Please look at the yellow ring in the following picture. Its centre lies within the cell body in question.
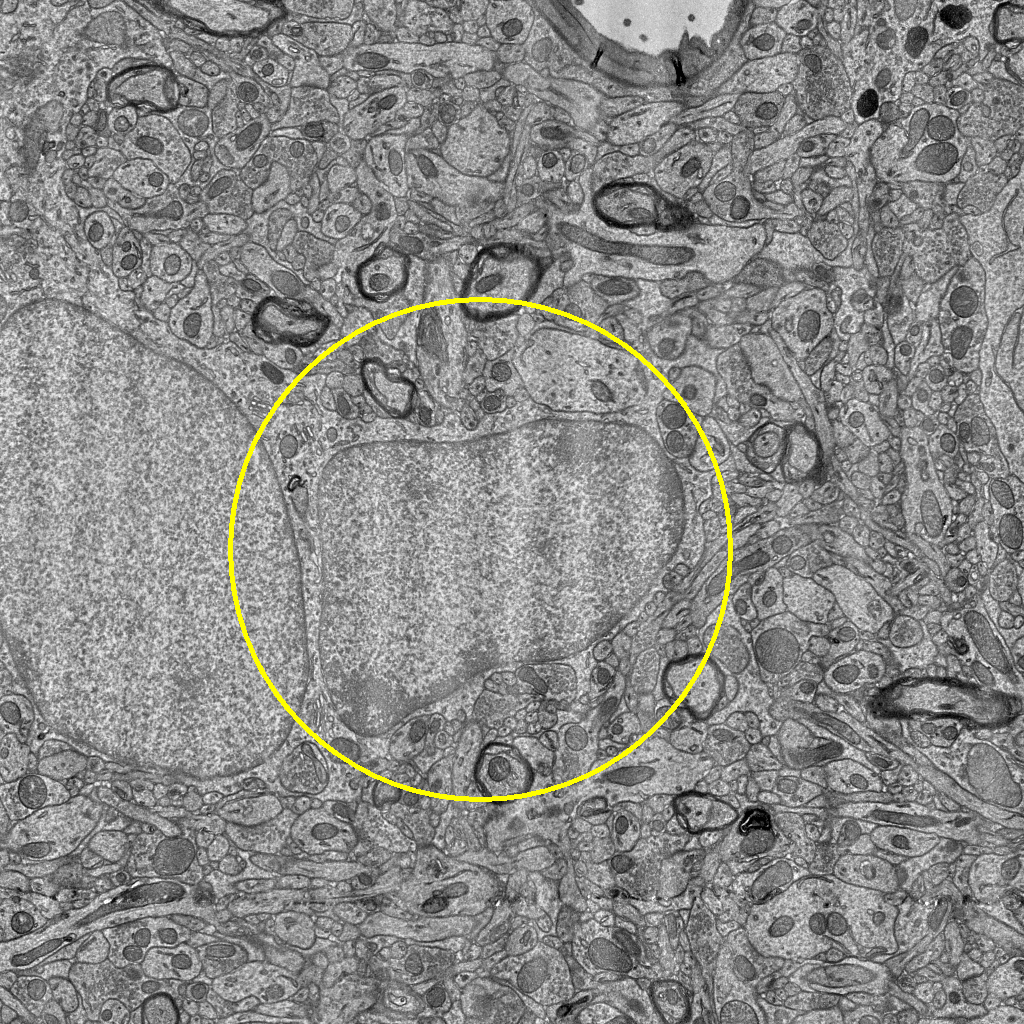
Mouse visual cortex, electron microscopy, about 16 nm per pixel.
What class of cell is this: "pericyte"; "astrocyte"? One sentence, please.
The centre of the ring lies in the cell body of an astrocyte.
